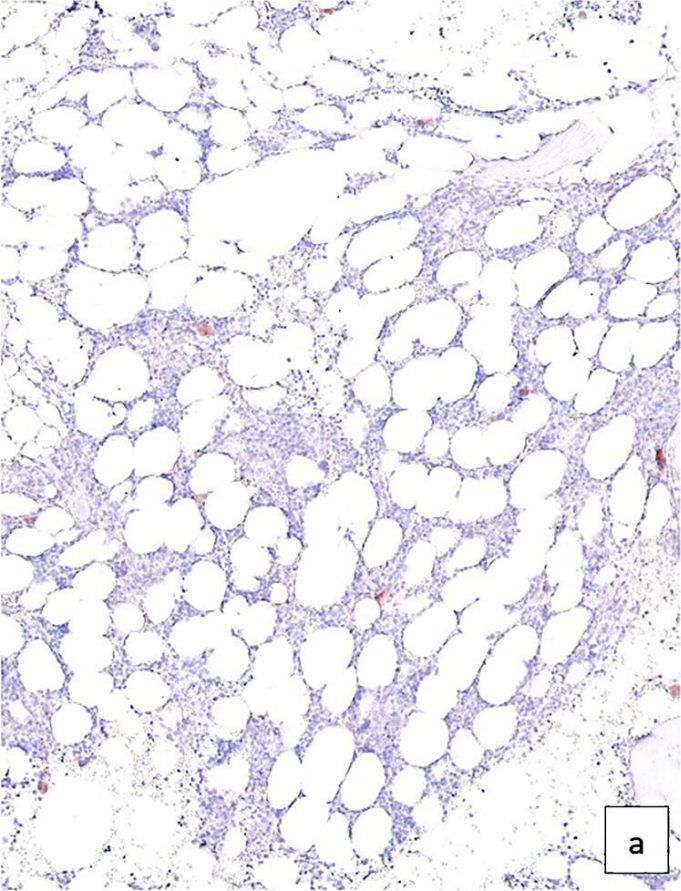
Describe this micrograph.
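This is a section of bone marrow in which large round empty fat spaces take up much of the field. Between them run narrow cords and patches of small blue-counterstained hematopoietic cells. Brown staining is nearly absent, with only a few faintly tinted cells scattered in the cellular cords.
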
